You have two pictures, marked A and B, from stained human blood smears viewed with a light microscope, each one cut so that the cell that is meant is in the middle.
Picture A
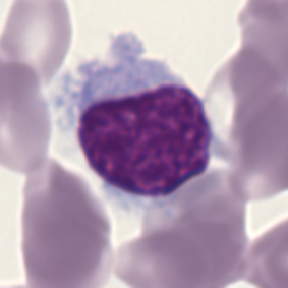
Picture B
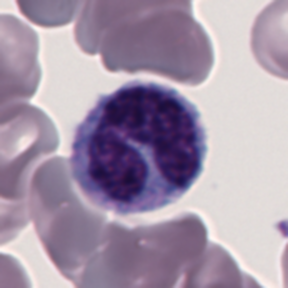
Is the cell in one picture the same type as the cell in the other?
no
